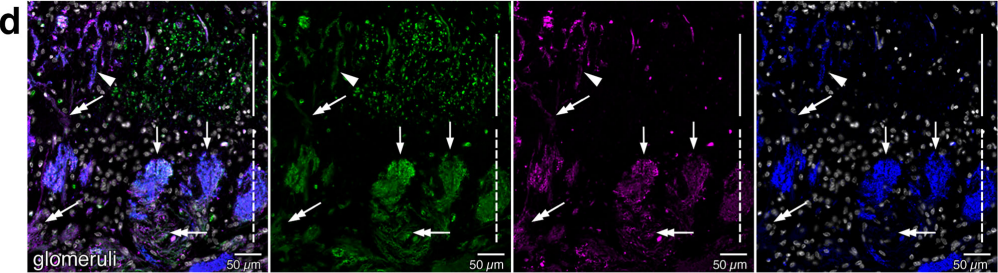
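In the lower half of the field lie several large rounded neuropil clusters, each packed with green, magenta and strong blue label, set among scattered small nuclei. Thin labeled fibre bundles run toward and into these clusters from the surrounding tissue. Above them lies a zone with fewer nuclei and many fine green dots, crossed by a few thin magenta and blue strands.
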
